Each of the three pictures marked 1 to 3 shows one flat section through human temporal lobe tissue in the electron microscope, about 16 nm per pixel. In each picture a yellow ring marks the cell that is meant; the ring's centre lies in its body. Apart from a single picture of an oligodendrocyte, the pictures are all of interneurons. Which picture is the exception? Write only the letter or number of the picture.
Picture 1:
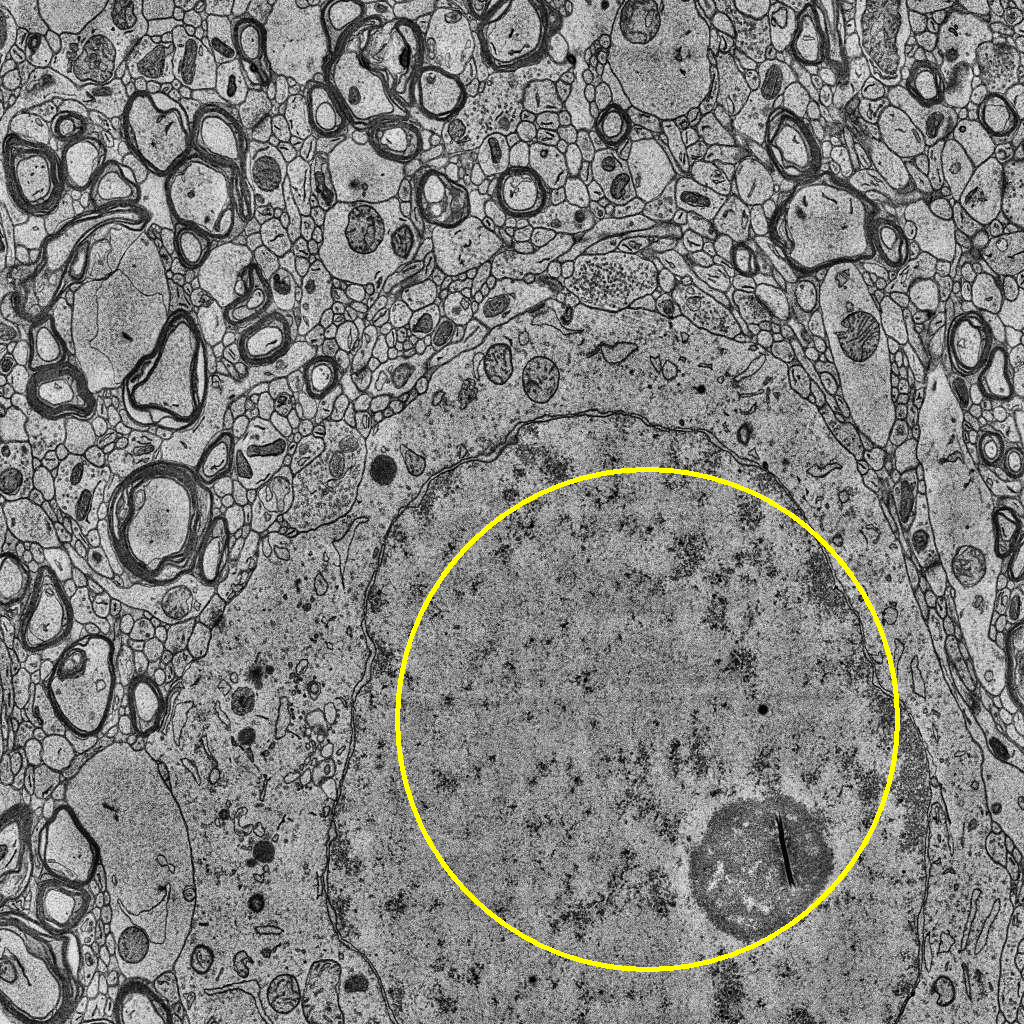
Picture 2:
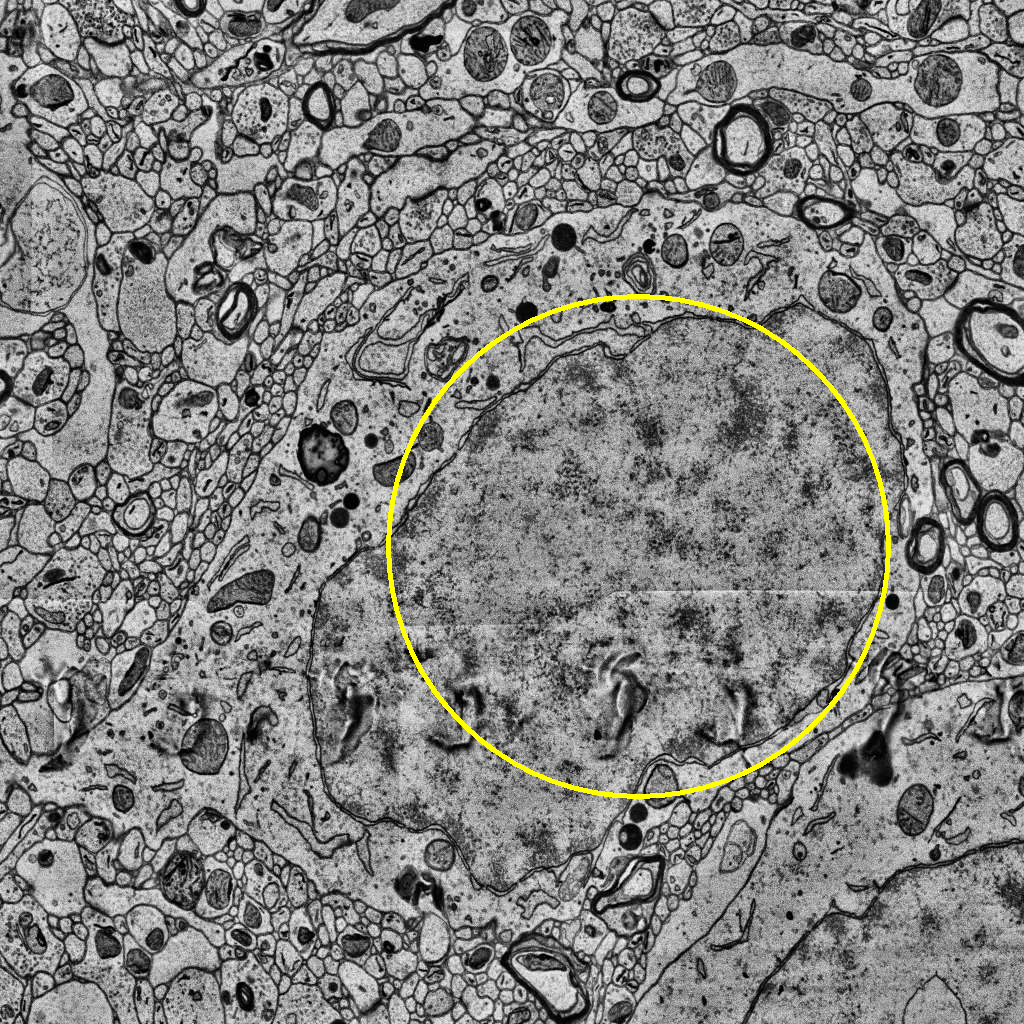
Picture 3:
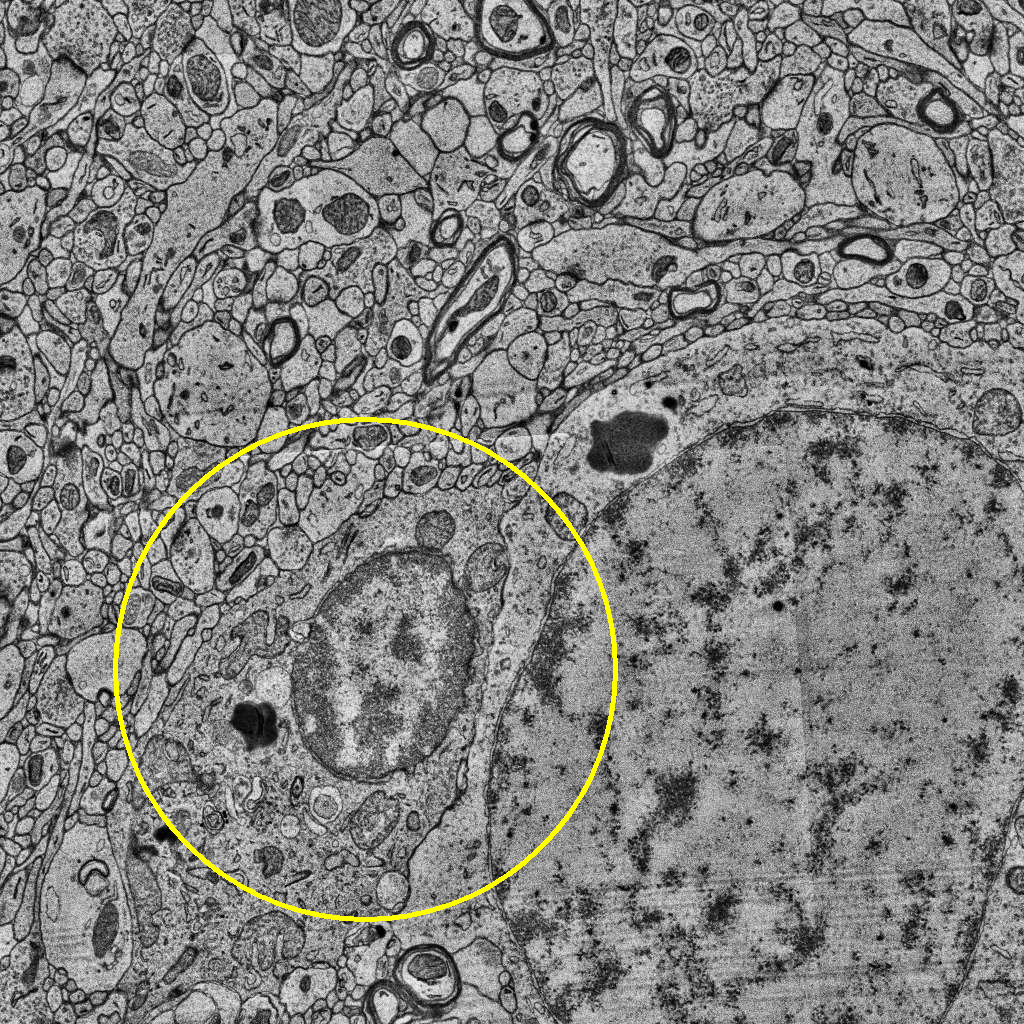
3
